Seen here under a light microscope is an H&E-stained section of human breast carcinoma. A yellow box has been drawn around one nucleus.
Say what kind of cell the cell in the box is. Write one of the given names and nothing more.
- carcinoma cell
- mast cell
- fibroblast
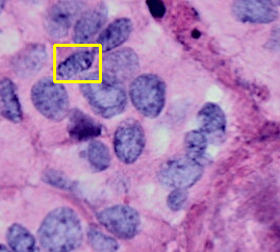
carcinoma cell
